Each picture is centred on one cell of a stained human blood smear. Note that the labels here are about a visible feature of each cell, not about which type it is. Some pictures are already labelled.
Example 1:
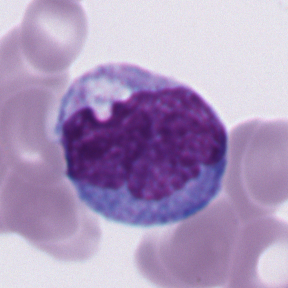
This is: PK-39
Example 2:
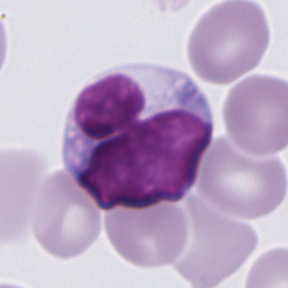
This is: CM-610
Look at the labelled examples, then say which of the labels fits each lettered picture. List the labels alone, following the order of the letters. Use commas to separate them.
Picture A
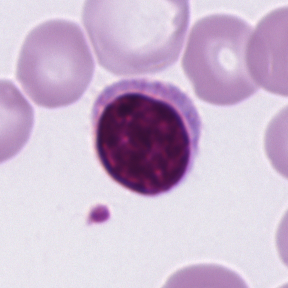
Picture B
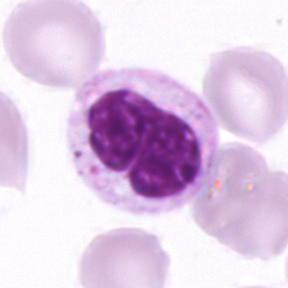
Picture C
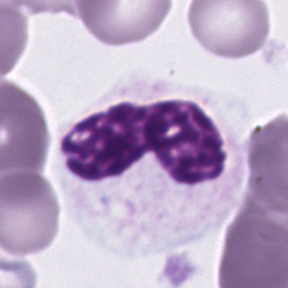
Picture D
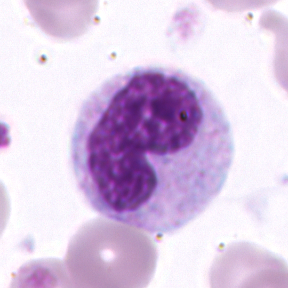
PK-39, CM-610, CM-610, PK-39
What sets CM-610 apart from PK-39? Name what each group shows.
In CM-610: lobed nucleus. In PK-39: single compact nucleus.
